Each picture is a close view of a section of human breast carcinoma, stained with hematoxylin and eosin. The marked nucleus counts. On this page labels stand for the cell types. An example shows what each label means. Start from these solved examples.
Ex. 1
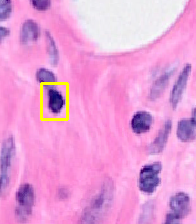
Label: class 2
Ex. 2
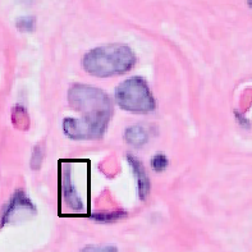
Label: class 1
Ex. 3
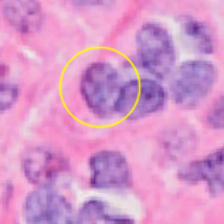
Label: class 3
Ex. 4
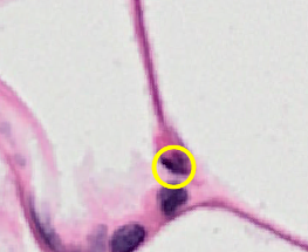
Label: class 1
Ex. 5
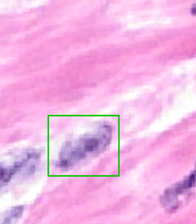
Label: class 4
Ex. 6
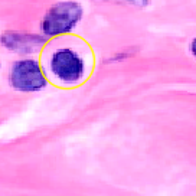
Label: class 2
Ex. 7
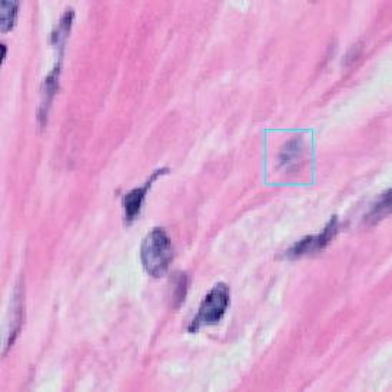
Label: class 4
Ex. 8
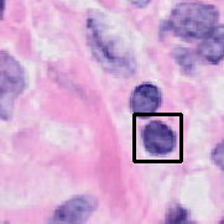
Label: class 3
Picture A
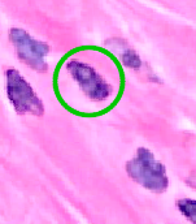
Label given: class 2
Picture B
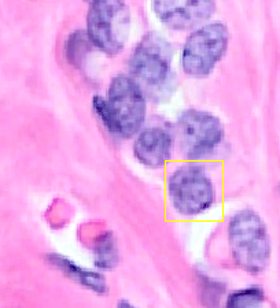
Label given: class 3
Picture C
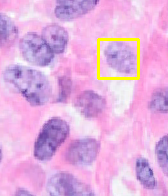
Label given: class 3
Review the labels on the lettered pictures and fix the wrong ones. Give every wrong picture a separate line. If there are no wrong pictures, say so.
Every label is right.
